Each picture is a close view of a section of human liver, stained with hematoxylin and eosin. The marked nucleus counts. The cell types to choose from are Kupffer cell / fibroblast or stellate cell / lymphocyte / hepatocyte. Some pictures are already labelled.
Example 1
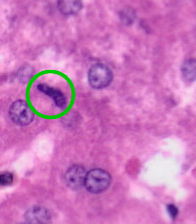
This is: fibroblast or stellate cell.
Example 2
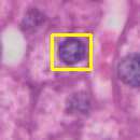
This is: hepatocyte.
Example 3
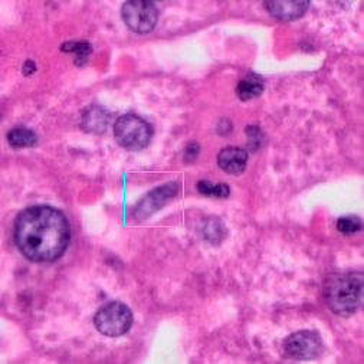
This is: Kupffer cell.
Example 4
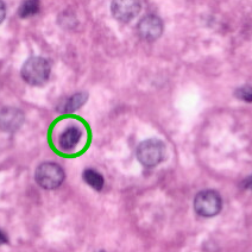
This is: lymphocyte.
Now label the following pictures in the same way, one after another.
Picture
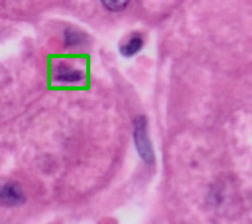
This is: fibroblast or stellate cell.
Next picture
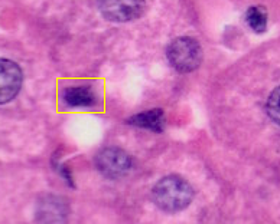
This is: fibroblast or stellate cell.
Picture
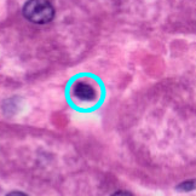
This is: lymphocyte.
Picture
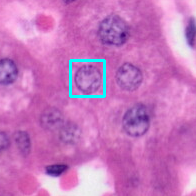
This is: hepatocyte.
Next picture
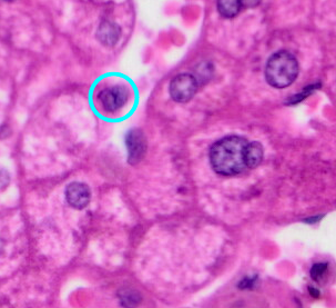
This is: Kupffer cell.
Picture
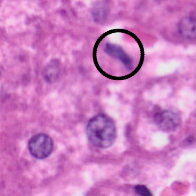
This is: Kupffer cell.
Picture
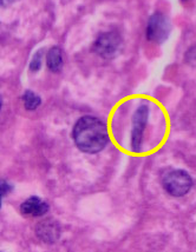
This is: Kupffer cell.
